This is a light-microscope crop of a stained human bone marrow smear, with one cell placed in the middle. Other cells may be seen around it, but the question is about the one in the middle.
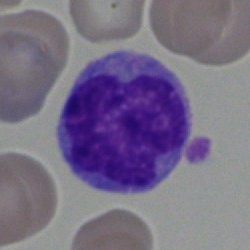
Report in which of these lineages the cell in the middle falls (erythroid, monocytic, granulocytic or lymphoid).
monocytic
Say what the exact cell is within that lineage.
monocyte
